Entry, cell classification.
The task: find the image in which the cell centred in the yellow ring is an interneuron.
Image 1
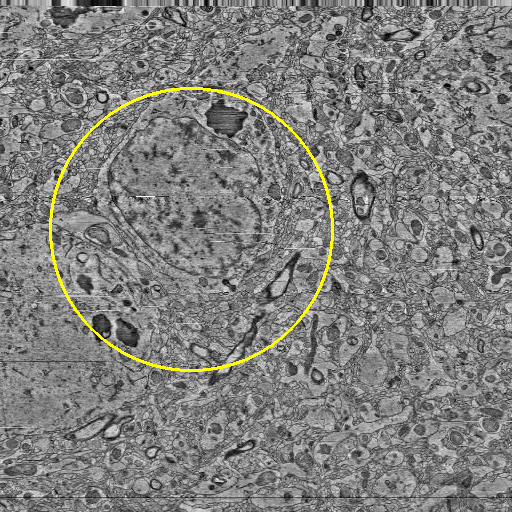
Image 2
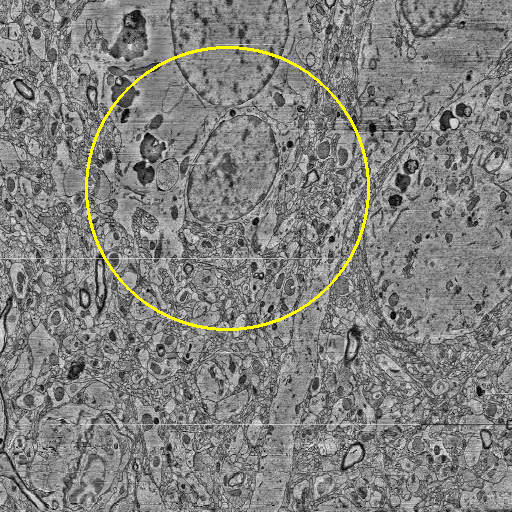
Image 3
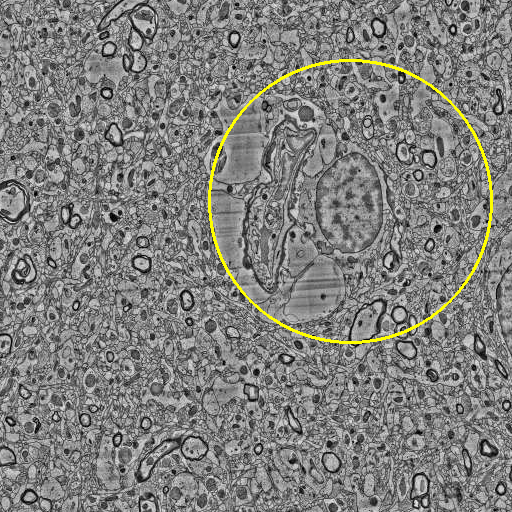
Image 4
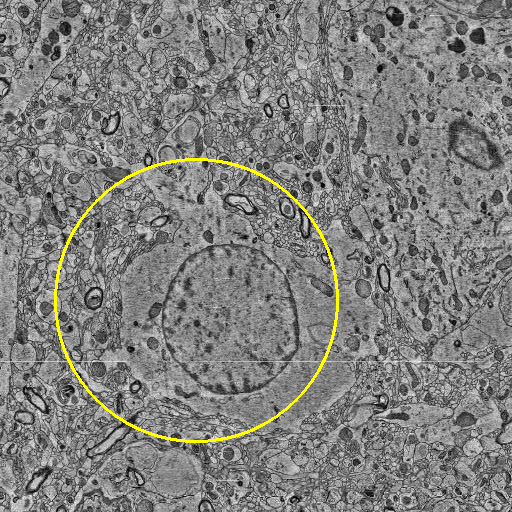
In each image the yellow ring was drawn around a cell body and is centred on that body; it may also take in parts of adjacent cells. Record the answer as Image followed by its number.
Image 1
